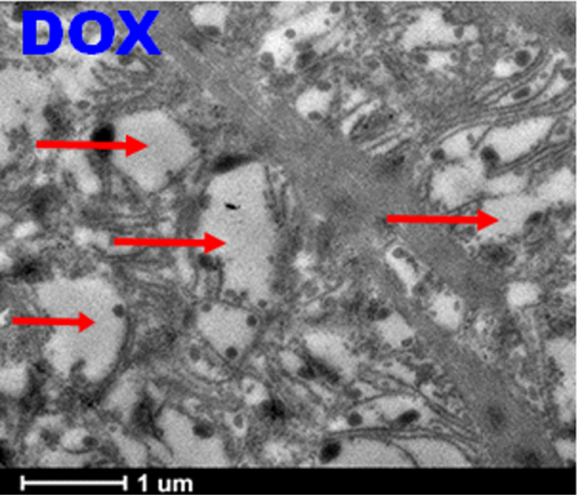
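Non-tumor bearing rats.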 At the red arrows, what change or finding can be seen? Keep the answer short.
Damaged mitochondria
